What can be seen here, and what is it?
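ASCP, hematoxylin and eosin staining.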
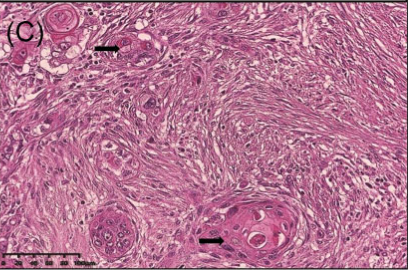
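Squamous cell carcinoma component: nests of polygonal tumour cells lie within a stroma of wavy, spindle-shaped fibroblast-like cells. Several nests form keratin pearls, round structures in which flattened cells are arranged in concentric layers around a bright pink, glassy keratinized centre. The tumour cells have abundant pink eosinophilic cytoplasm, dark round nuclei and fairly distinct cell borders. Some cells nearby show individual keratinization, appearing as rounded cells with dense pink cytoplasm. A few pale, vacuolated cells lie at the upper left, and scattered small dark inflammatory-type nuclei are present in the stroma.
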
